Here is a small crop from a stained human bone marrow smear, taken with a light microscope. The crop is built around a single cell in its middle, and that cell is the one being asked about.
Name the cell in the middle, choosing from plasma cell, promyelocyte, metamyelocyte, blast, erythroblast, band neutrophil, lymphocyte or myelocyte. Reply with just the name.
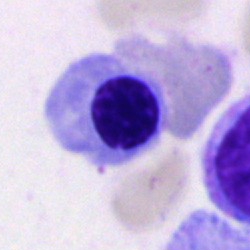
erythroblast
